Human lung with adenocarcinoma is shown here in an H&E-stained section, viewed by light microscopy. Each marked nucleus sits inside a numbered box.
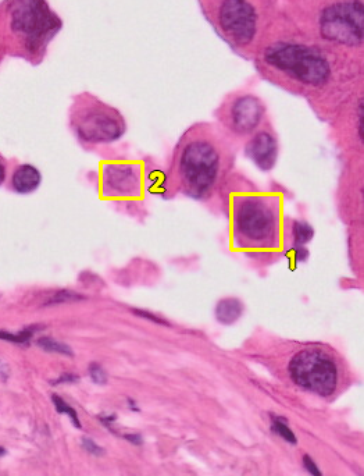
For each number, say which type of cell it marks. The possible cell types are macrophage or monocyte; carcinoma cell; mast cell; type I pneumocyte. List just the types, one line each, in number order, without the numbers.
carcinoma cell
macrophage or monocyte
